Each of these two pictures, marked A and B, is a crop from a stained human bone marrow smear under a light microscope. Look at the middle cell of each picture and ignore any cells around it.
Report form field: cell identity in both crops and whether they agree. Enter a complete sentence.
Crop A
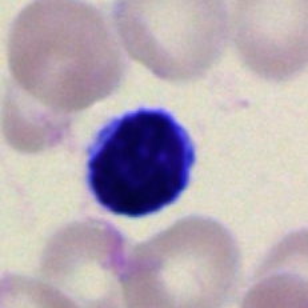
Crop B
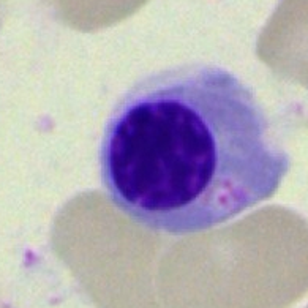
No, crop A is of a lymphocyte, and crop B is of an erythroblast.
